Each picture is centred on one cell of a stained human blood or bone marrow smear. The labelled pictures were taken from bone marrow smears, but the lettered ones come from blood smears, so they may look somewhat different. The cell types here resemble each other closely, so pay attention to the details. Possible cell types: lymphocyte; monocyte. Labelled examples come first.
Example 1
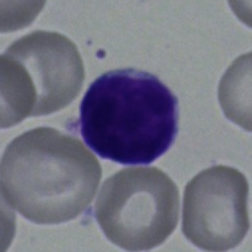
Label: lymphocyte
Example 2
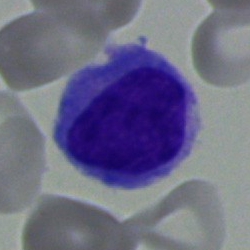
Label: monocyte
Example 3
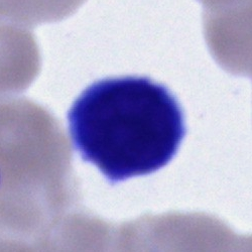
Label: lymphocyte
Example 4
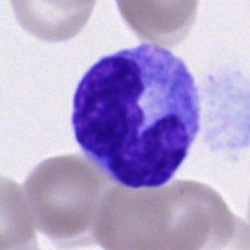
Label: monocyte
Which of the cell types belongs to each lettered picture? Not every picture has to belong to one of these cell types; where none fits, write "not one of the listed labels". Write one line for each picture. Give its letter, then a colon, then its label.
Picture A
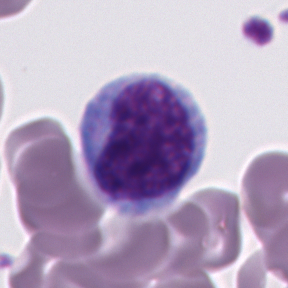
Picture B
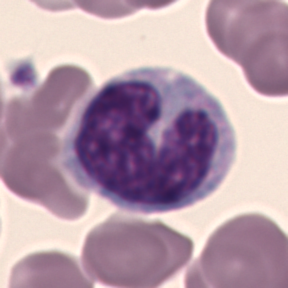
A: monocyte
B: monocyte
